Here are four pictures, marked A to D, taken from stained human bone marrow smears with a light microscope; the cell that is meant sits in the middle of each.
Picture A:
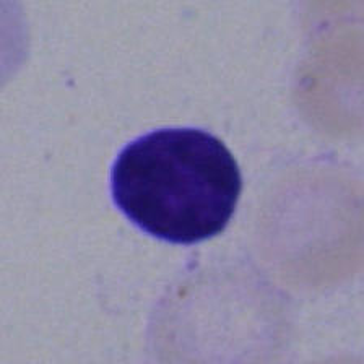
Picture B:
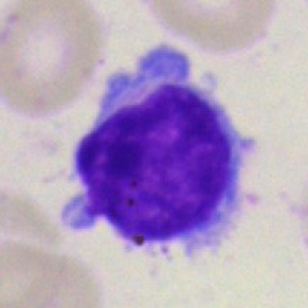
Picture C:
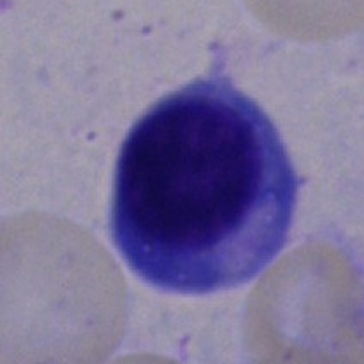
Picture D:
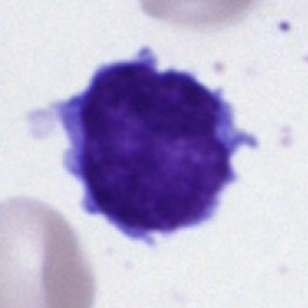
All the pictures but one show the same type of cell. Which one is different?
C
